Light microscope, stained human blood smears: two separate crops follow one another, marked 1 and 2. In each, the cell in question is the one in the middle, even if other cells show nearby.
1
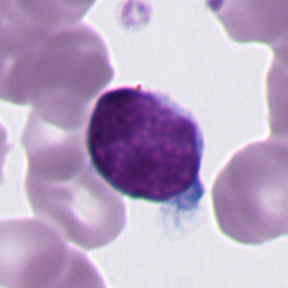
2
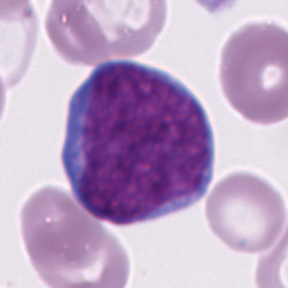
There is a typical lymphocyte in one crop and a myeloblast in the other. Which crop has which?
1: typical lymphocyte
2: myeloblast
